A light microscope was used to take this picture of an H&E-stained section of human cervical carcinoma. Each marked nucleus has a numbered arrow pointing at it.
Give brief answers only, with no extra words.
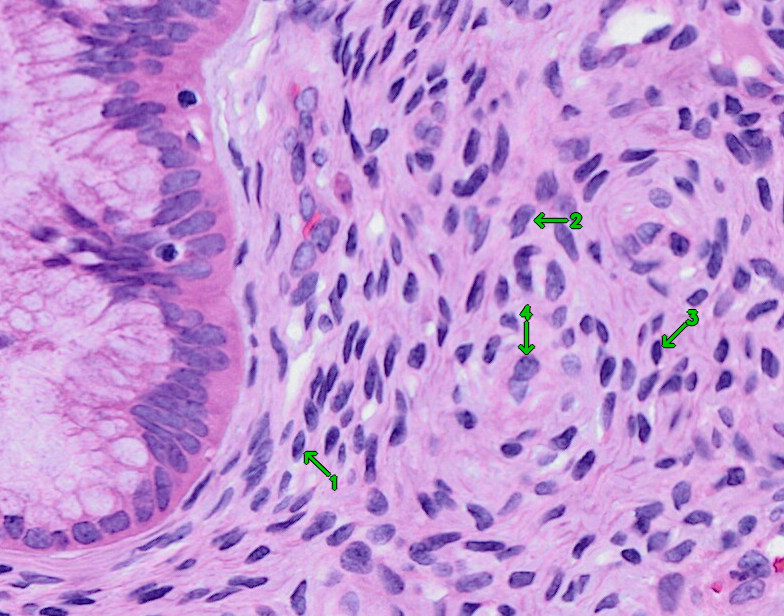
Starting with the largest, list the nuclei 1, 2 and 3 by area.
2, 1, 3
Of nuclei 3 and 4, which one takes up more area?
4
